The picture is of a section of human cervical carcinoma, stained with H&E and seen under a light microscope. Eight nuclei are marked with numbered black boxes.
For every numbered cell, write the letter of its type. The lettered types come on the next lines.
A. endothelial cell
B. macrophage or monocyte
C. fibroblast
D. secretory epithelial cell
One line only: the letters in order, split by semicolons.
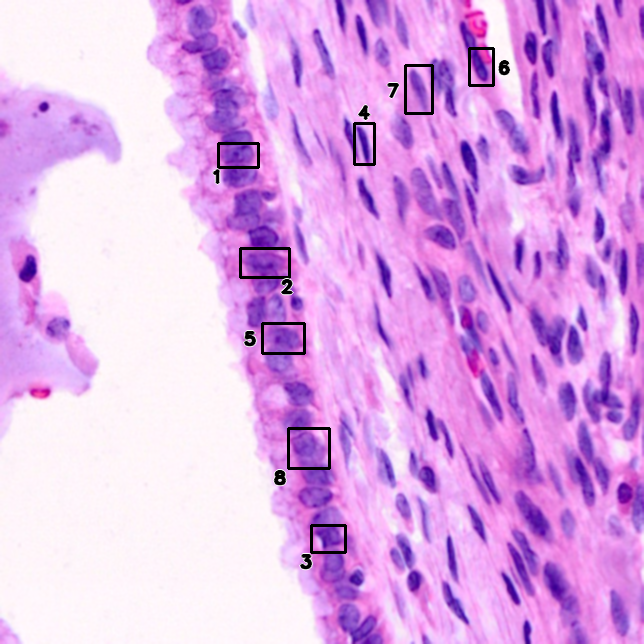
D; D; D; C; D; A; C; D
